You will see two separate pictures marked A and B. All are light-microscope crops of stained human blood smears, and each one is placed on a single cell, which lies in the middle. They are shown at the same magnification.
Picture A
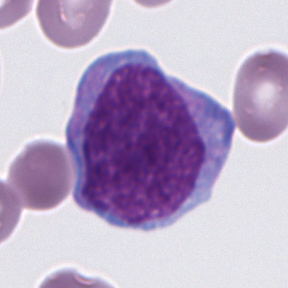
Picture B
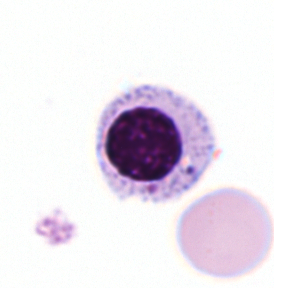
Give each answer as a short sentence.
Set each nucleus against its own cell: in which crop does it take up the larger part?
Of the two, the nucleus in picture A makes up the greater part of its cell.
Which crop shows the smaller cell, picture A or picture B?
The cell in picture B is smaller; the one in picture A has about 2 times its area.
